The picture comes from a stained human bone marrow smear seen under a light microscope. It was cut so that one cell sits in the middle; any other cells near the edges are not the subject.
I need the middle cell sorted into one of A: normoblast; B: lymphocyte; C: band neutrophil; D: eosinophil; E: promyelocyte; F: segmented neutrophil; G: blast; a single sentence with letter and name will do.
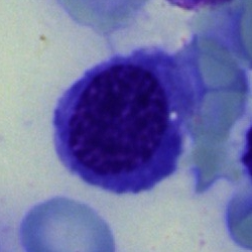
The cell centered in the crop is a normoblast, making option A the correct pick.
